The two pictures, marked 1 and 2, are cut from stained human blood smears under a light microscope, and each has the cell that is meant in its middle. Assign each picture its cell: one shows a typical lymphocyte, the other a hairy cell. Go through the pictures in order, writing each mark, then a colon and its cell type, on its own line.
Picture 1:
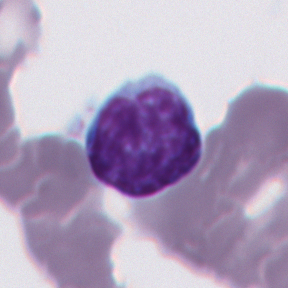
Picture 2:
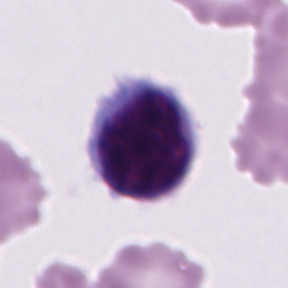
1: typical lymphocyte
2: hairy cell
